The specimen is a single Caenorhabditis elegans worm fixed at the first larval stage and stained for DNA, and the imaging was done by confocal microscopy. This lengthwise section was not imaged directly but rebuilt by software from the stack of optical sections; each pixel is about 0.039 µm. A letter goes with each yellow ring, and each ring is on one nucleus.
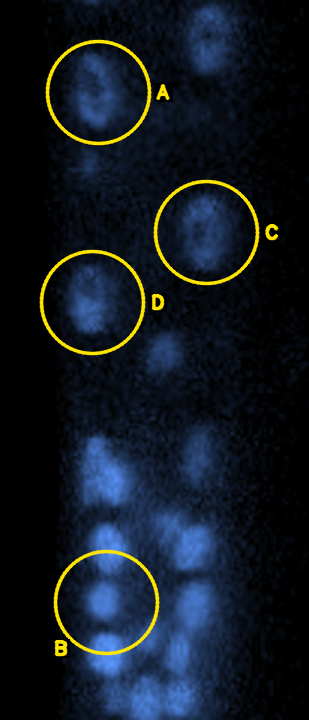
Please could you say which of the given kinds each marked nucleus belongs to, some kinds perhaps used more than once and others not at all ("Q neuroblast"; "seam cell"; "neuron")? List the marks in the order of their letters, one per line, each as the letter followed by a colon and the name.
A: seam cell
B: neuron
C: seam cell
D: seam cell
